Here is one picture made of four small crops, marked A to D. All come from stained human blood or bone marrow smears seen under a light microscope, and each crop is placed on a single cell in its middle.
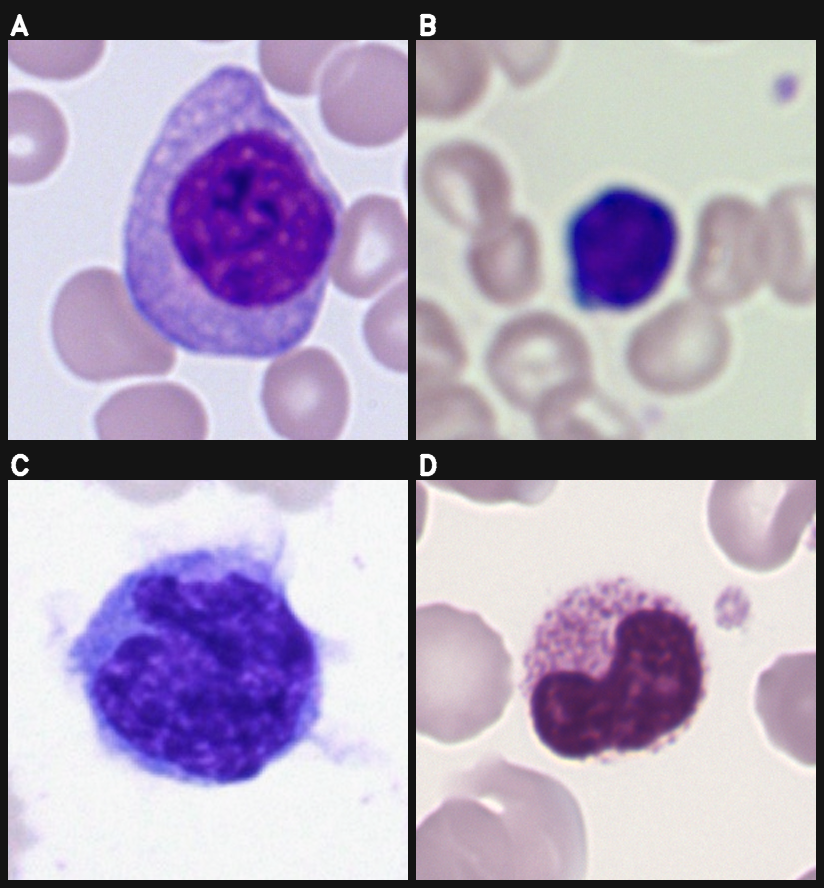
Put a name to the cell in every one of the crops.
A: monocyte
B: lymphocyte
C: monocyte
D: band neutrophil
